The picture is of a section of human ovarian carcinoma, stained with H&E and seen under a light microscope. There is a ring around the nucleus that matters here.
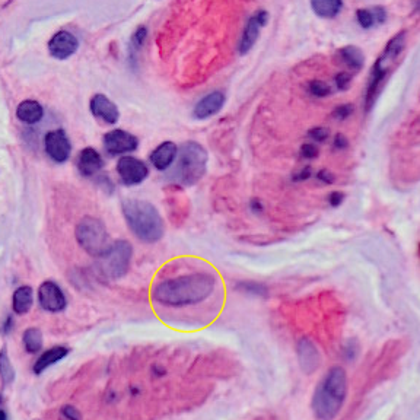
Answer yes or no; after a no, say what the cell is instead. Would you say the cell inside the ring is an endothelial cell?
Yes.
